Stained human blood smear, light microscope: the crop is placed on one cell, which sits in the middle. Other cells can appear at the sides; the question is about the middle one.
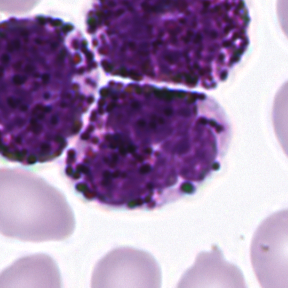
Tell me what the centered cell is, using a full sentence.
Regarding the central cell, it is a basophil.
